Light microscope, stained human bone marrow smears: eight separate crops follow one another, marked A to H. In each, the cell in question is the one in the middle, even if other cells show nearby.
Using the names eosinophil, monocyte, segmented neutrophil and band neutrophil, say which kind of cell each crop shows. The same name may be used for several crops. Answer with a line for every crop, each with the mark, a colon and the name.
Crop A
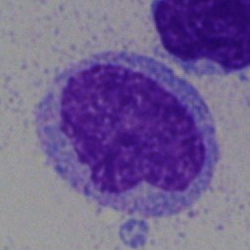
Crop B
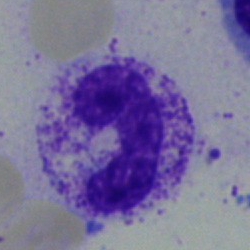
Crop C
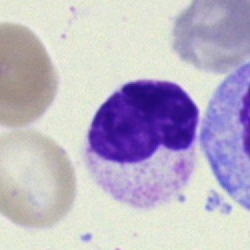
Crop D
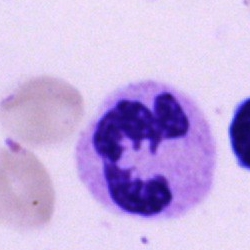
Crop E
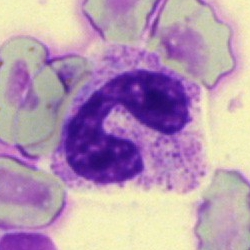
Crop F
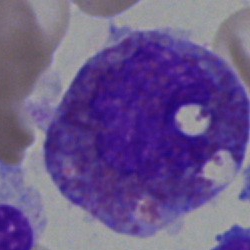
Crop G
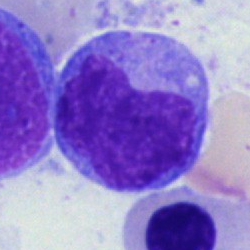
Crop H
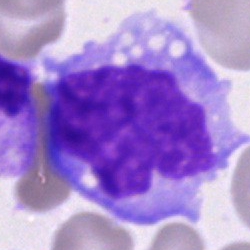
A: monocyte
B: band neutrophil
C: band neutrophil
D: segmented neutrophil
E: segmented neutrophil
F: eosinophil
G: monocyte
H: monocyte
